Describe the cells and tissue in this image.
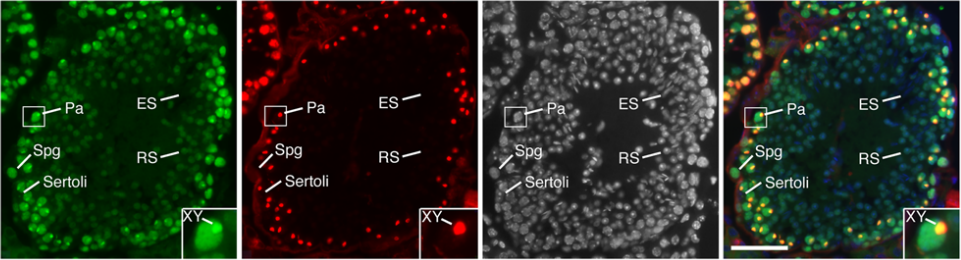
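Cross-section of a seminiferous tubule with germ cells layered from the basal edge toward a central lumen. Nuclei near the periphery stain brightly green; green nuclear staining is weaker in the inner layers. Cells toward the lumen have small round nuclei, and elongated condensed nuclei line the lumen. The inset enlarges one large nucleus with a bright compact body at its margin that is both green and red.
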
